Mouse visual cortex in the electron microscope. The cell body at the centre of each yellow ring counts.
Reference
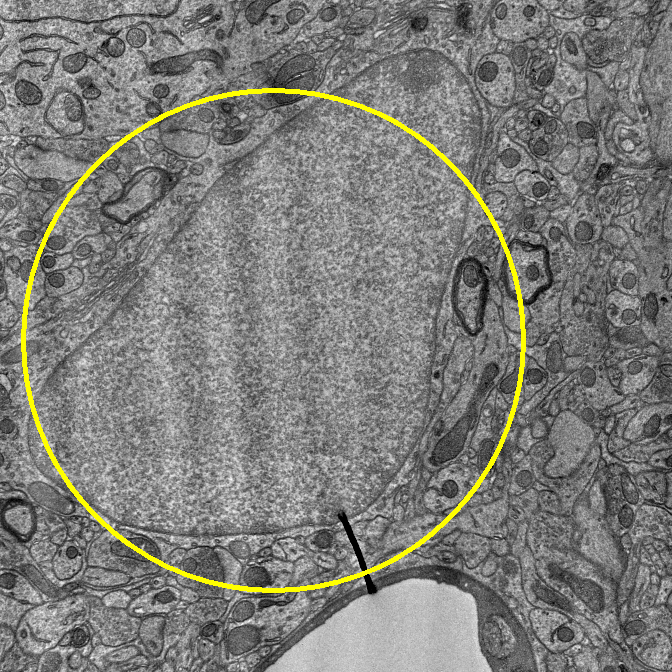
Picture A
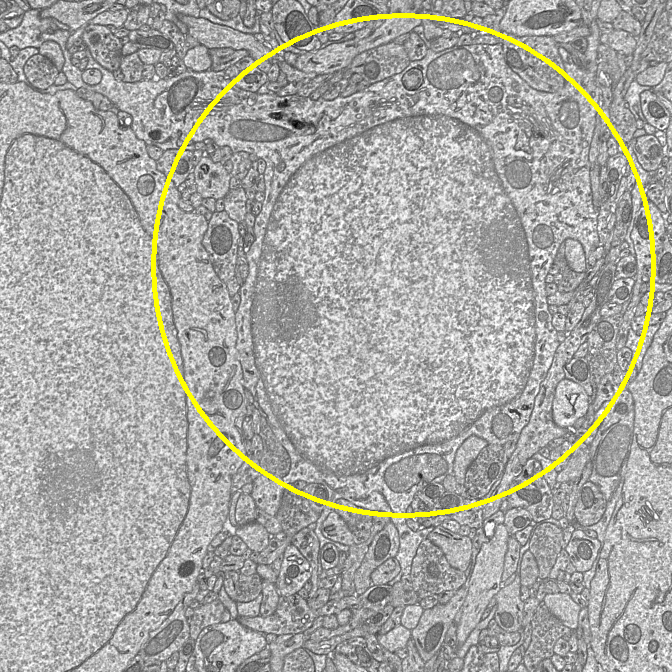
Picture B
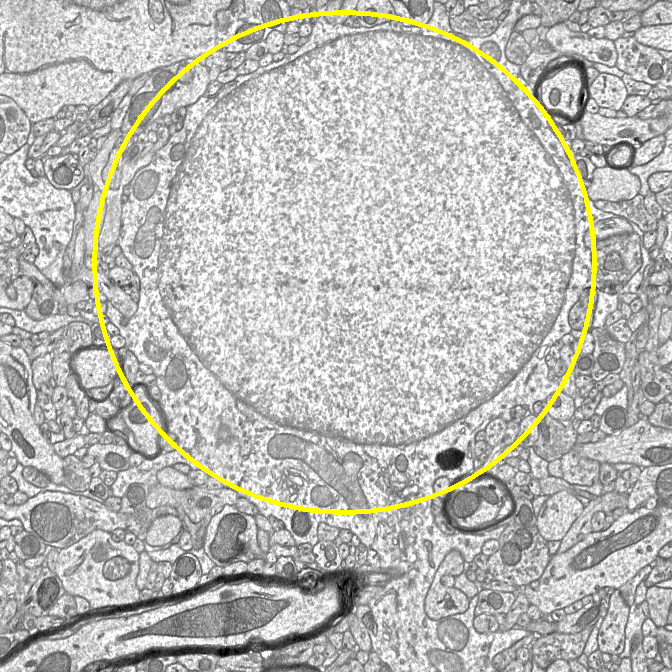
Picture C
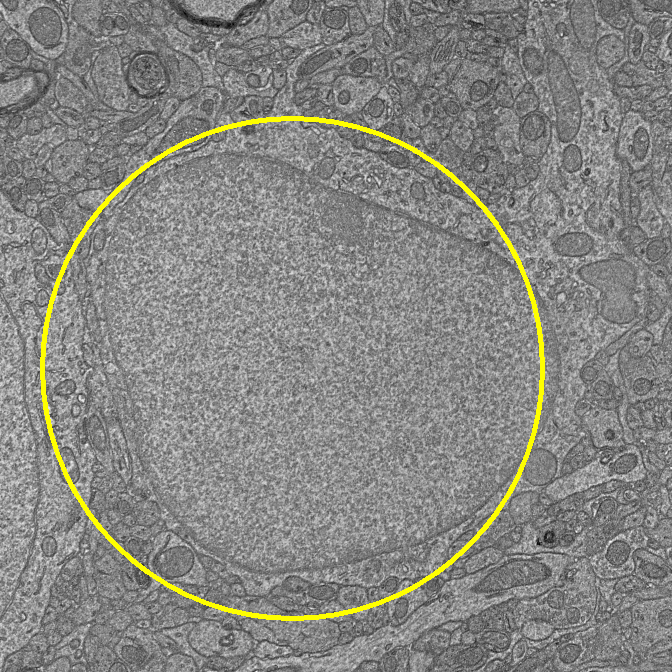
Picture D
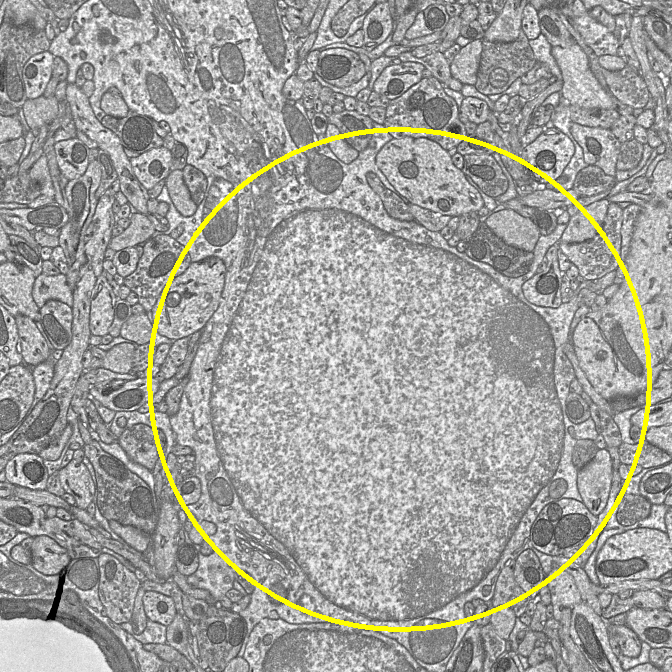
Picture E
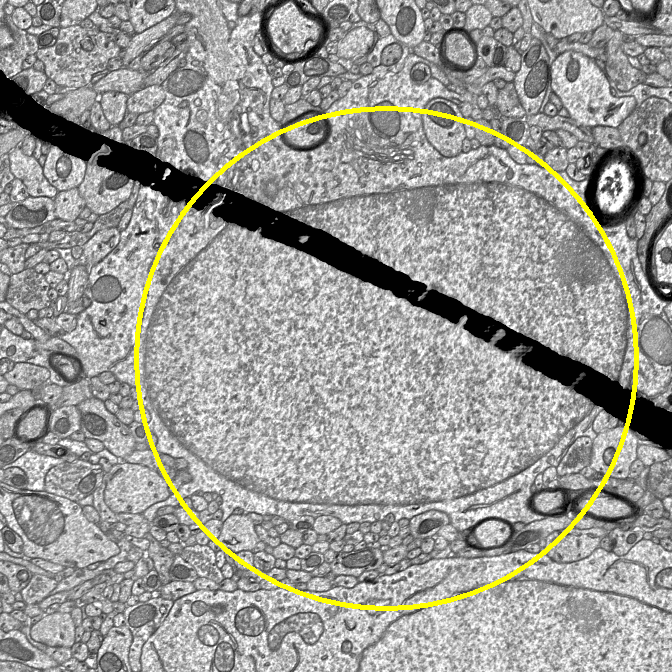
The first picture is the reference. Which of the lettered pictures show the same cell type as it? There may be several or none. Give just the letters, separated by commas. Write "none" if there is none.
A, B, C, D, E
